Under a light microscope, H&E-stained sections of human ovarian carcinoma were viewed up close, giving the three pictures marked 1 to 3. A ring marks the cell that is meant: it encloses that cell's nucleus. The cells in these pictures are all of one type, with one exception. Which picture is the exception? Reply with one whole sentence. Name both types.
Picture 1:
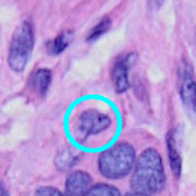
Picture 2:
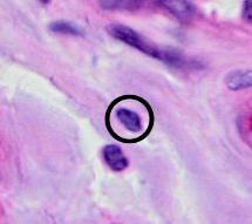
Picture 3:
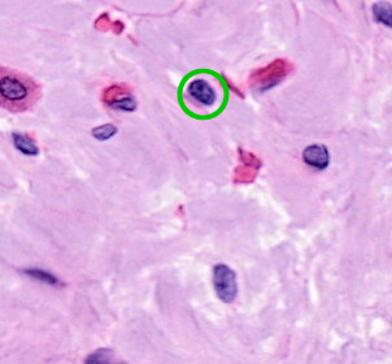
The others show lymphocytes, but picture 1 shows a “macrophage or monocyte”.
